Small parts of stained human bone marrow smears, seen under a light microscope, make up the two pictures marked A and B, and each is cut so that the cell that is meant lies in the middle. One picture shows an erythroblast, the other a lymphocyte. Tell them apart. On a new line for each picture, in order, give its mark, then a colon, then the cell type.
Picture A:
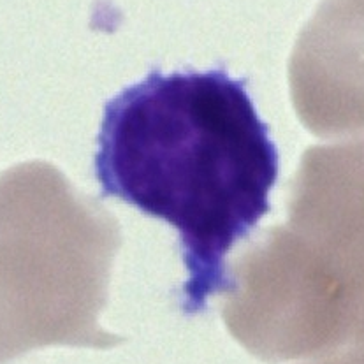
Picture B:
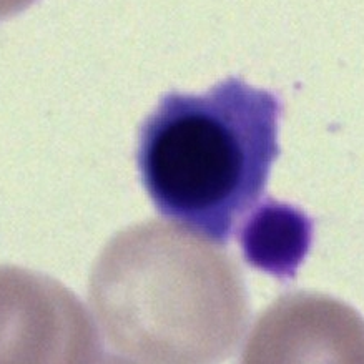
A: lymphocyte
B: erythroblast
